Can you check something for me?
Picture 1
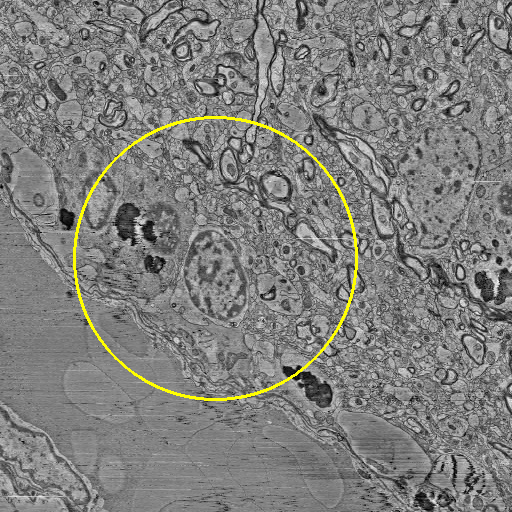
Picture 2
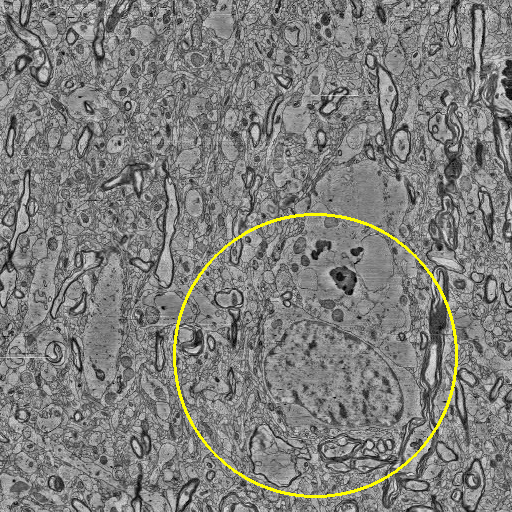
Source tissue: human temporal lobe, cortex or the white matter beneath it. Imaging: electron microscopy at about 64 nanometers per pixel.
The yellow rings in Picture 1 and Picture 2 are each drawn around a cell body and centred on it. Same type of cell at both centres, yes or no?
yes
